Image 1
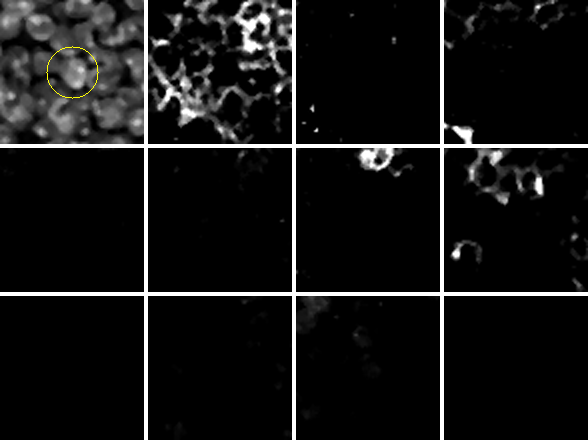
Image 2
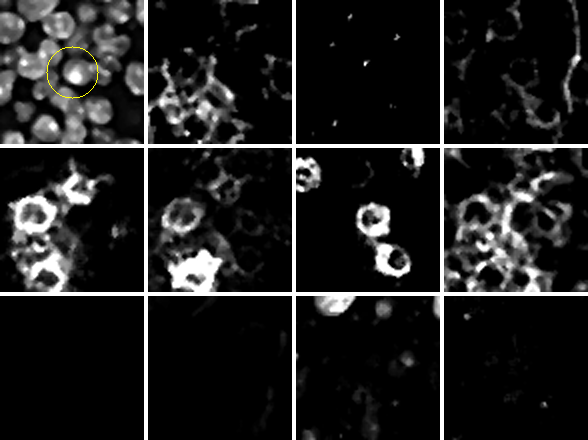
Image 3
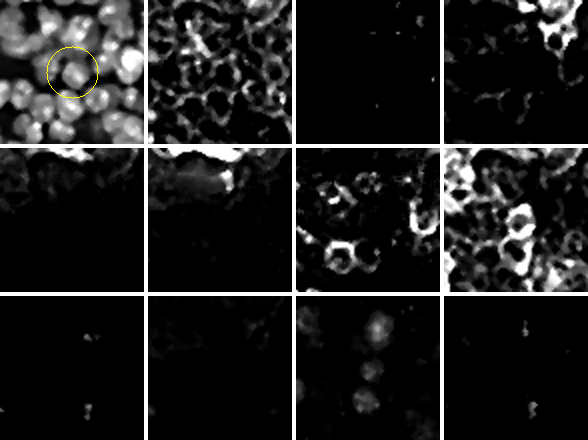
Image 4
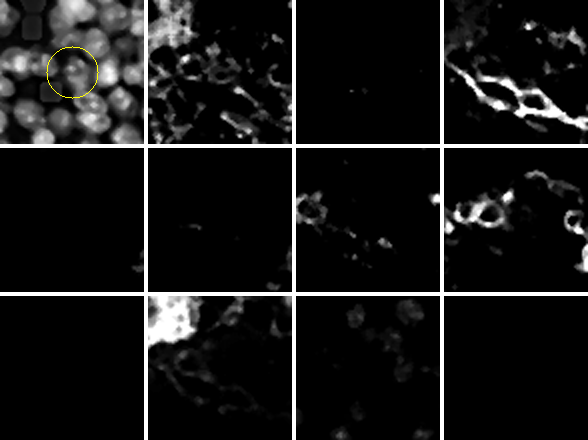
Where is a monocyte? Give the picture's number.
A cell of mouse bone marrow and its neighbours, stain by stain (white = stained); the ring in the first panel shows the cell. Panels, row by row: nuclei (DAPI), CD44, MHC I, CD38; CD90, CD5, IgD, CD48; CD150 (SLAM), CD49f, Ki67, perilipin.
3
